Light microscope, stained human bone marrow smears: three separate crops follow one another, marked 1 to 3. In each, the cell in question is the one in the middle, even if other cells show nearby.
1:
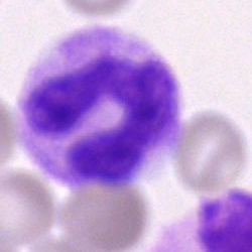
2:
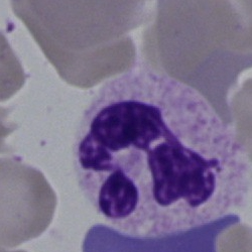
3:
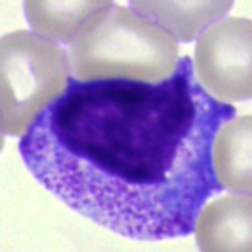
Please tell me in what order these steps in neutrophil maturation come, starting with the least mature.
3, 1, 2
